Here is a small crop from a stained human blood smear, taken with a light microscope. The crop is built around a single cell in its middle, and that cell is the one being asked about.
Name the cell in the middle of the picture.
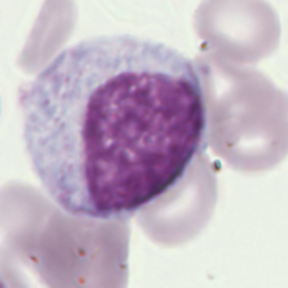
myelocyte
